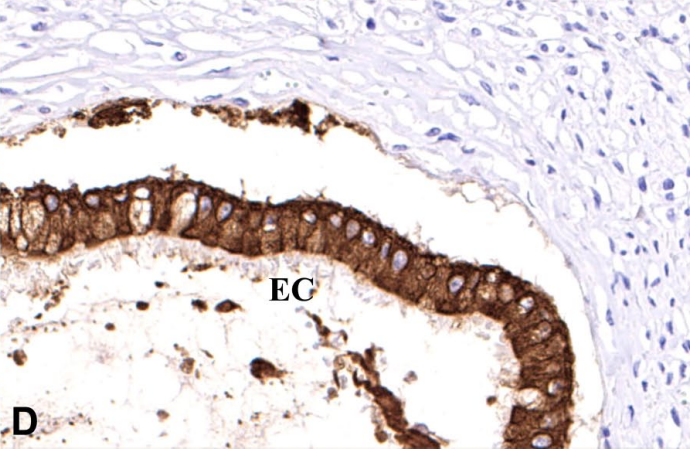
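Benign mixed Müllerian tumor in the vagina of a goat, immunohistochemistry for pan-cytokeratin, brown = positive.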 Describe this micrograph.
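A single layer of tall columnar epithelial cells lining a lumen is stained strongly brown throughout the cytoplasm. Their nuclei, counterstained blue, lie in a row within the brown layer, and some cells appear pale and rounded. The surrounding loose stroma with scattered elongated nuclei is unstained. Brown-stained debris lies free in the lumen.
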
